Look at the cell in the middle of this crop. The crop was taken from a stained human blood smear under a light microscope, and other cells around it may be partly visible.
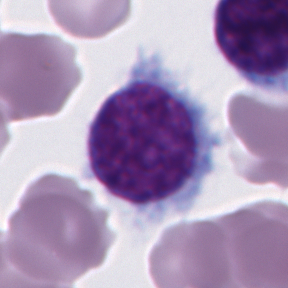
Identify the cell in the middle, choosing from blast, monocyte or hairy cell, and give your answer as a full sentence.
This crop is built around a hairy cell at its centre.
